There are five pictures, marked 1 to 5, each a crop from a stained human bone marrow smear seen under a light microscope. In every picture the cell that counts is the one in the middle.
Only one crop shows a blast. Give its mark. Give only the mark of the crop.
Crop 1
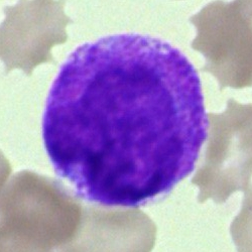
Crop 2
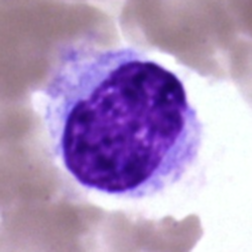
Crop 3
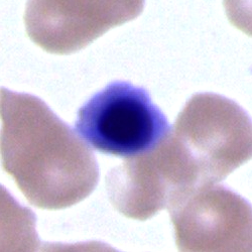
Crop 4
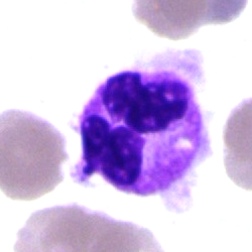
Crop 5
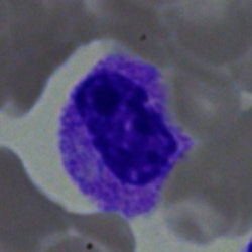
1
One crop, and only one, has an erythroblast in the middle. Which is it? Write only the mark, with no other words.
3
